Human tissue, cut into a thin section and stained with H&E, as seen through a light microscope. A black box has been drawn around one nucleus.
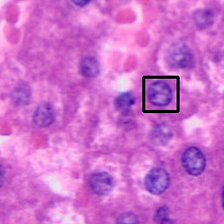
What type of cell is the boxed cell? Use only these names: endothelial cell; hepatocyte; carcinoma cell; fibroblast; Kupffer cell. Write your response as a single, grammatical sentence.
It is as a hepatocyte that the boxed cell is recorded.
